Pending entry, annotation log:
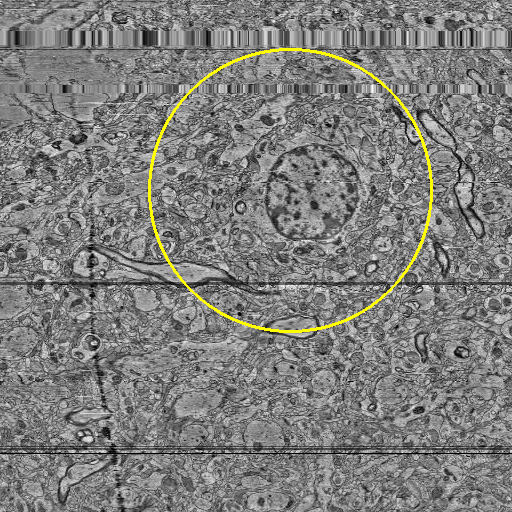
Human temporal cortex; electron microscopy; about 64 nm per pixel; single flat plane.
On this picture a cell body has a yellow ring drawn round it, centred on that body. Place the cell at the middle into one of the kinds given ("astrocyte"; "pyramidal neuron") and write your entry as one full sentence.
The cell body at the middle of the yellow ring belongs to an astrocyte.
